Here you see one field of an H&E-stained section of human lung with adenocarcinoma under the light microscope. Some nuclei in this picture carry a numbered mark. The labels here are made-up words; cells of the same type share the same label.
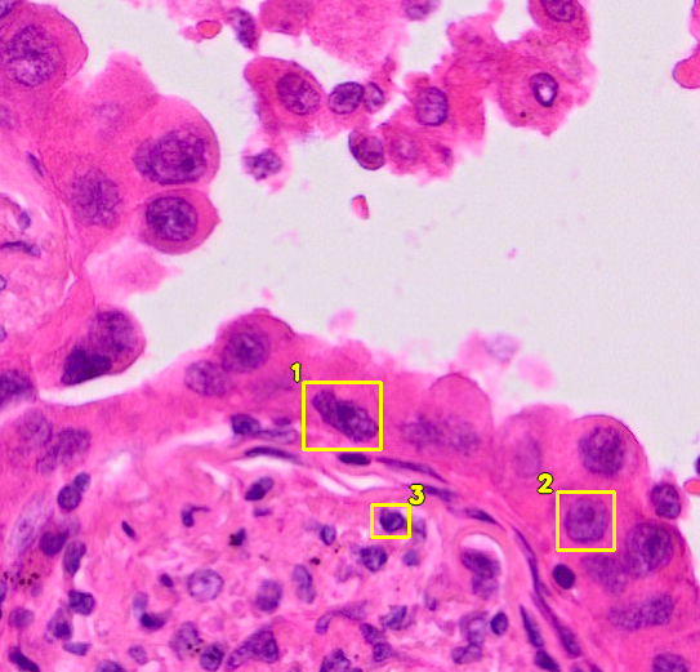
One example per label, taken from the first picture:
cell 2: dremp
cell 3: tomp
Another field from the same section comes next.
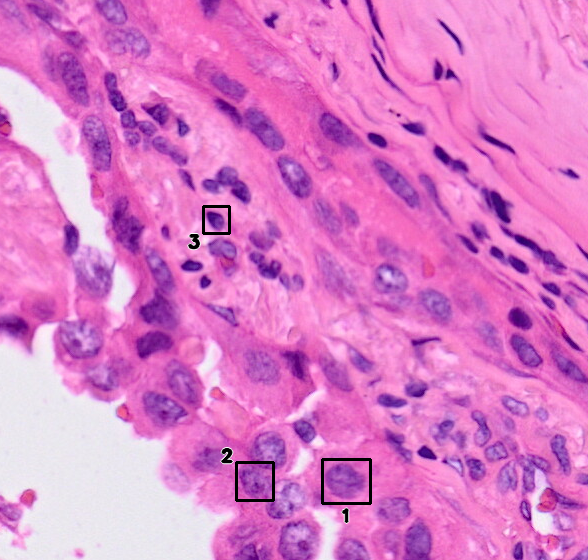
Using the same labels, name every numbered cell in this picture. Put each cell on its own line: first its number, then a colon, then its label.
1: dremp
2: dremp
3: tomp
